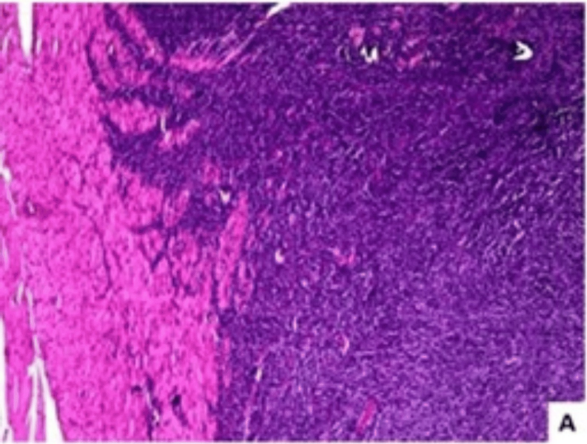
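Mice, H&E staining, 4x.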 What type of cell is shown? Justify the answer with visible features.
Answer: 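A large dense sheet of closely packed cells with dark purple nuclei. On this evidence: tumor cells.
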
